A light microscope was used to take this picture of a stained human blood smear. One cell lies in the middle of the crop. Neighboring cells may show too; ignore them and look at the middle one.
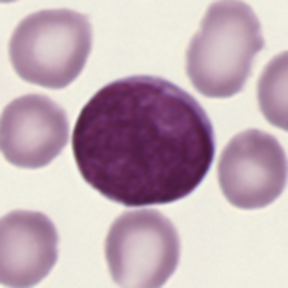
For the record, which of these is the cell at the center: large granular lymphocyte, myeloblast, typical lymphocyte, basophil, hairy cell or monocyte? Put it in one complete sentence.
The center cell of this crop is a myeloblast.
